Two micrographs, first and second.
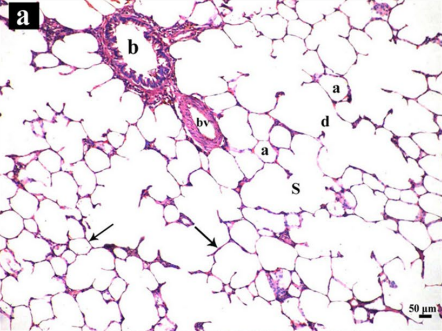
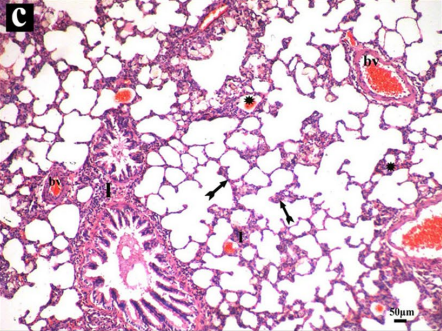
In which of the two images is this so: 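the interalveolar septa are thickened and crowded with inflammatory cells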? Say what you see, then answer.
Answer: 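Second image: many walls between air spaces are broad and packed with dark nuclei, with dense cell clusters around airways and vessels. First image: the walls between air spaces are thin and delicate, with few nuclei. The answer: the second image.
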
